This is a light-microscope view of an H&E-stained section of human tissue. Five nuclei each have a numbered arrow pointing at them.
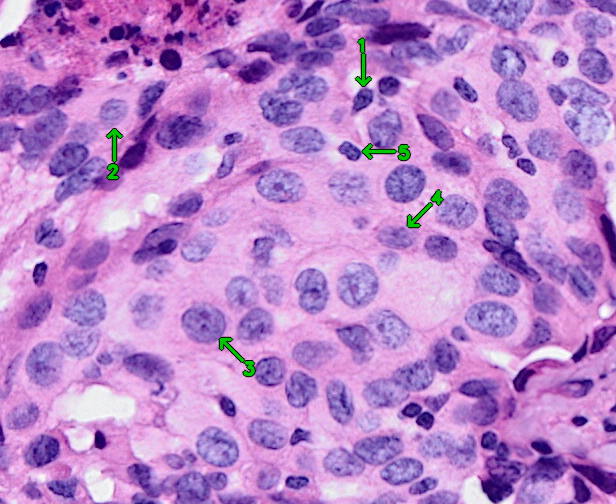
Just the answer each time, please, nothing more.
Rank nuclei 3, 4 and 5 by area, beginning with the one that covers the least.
5, 4, 3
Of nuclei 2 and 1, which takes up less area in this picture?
1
